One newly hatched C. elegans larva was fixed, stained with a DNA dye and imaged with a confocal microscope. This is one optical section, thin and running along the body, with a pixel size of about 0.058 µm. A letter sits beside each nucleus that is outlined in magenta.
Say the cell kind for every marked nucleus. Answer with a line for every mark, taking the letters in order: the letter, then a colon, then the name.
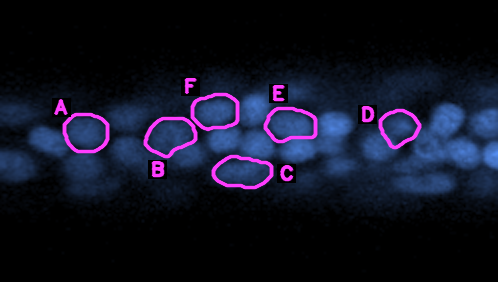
A: hypodermal cell (hyp)
B: seam cell
C: body wall muscle cell
D: neuron
E: neuron
F: glial cell (sheath or socket)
